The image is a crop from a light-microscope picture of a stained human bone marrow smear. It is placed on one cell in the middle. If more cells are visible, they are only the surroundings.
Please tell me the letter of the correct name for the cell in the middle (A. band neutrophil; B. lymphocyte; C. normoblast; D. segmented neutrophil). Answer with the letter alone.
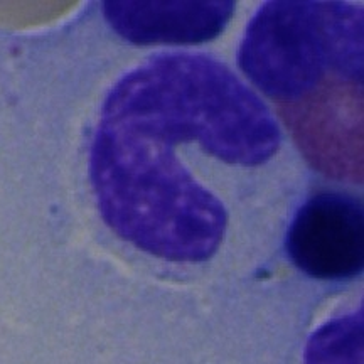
A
